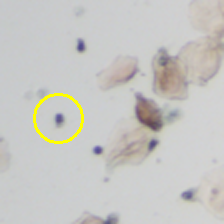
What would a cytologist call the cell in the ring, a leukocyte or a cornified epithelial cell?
A cytologist would call it a leukocyte.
